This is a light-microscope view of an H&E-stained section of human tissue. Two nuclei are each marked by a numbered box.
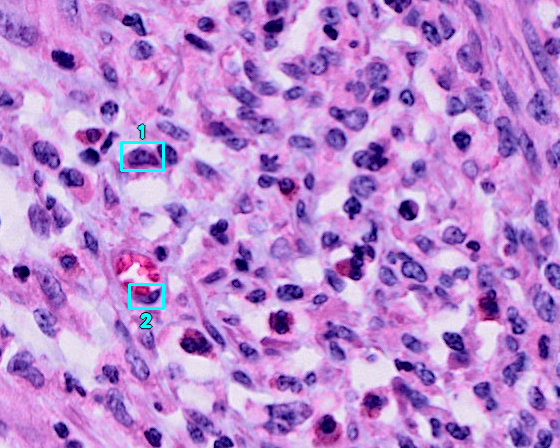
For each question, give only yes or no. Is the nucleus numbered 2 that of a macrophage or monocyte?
no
